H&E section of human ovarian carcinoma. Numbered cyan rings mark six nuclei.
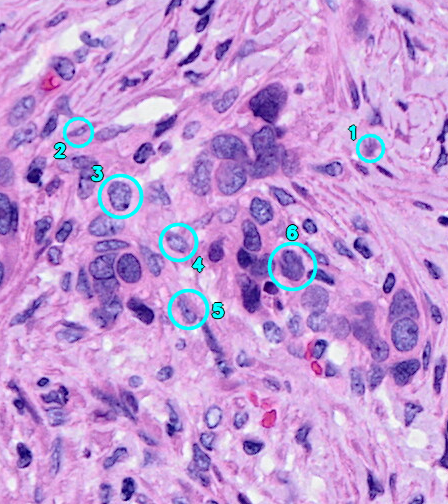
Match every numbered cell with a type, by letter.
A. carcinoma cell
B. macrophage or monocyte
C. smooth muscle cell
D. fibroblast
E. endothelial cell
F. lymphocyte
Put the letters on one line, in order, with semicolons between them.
D; D; B; D; D; A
